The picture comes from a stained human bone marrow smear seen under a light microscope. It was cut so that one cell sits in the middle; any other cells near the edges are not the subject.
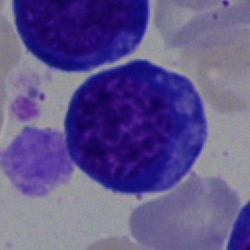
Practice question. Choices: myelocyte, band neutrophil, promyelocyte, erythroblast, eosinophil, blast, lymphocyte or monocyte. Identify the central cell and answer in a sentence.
The middle cell in this particular crop is an erythroblast.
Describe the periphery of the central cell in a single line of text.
A smooth, projection-free outline is what this cell has.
